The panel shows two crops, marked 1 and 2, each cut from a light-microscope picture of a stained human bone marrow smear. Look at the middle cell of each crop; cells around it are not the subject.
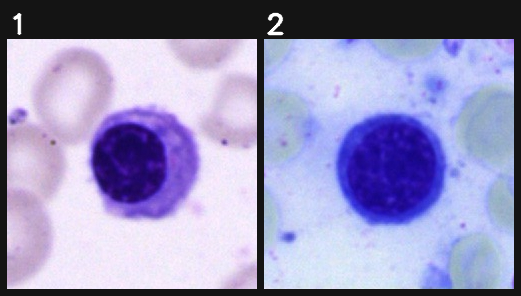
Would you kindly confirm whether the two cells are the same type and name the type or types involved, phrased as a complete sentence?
Yes, erythroblasts are centred in both crops.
